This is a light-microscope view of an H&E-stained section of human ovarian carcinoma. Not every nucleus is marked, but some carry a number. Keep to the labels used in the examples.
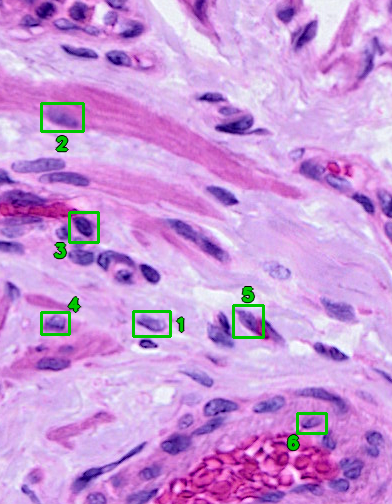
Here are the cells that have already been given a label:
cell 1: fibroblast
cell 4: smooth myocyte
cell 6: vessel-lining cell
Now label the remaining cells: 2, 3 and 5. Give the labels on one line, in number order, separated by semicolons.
smooth myocyte; vessel-lining cell; vessel-lining cell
